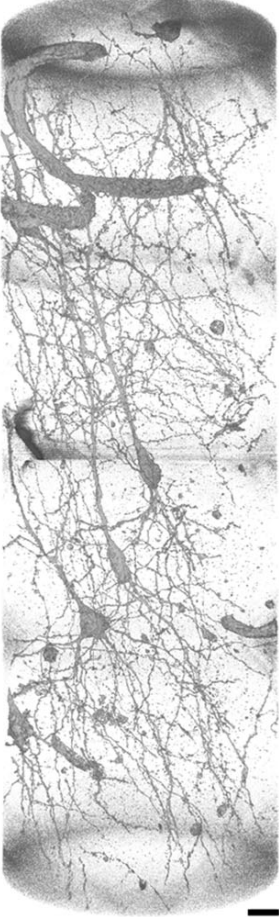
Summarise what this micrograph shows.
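Several somata send thicker processes toward the top of the volume, while a dense tangle of thin neurites runs mostly vertically around them. A few thicker, smooth tubular profiles also cross the volume.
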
